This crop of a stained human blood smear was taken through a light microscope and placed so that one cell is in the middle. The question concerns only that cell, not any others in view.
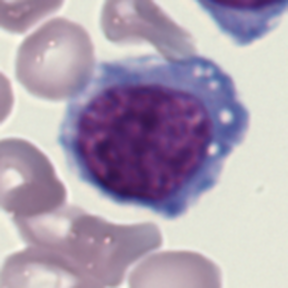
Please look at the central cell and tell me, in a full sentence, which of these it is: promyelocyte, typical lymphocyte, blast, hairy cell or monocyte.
The crop shows a blast in its centre.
